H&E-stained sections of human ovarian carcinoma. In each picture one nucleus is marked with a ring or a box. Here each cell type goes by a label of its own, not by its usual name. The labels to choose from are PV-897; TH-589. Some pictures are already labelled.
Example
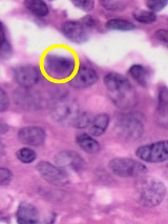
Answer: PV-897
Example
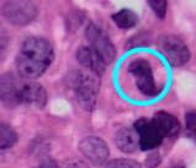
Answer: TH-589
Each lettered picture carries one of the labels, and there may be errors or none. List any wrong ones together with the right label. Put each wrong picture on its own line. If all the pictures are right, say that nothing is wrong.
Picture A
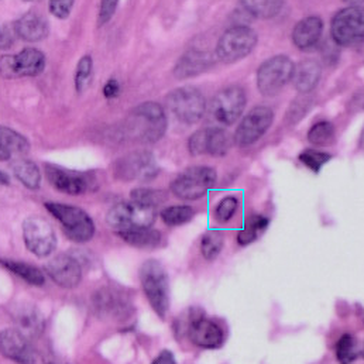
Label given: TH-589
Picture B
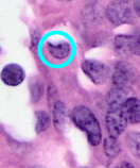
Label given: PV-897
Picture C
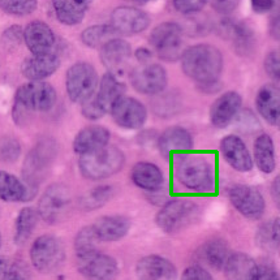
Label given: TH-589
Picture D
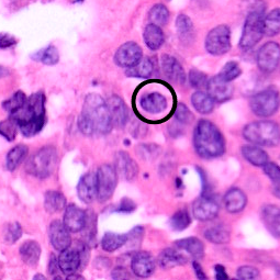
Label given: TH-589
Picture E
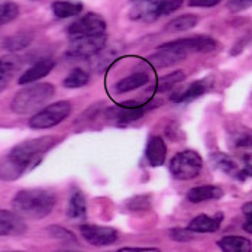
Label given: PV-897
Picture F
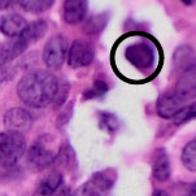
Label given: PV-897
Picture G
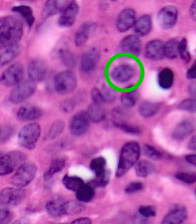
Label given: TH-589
B: not PV-897 but TH-589
C: not TH-589 but PV-897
